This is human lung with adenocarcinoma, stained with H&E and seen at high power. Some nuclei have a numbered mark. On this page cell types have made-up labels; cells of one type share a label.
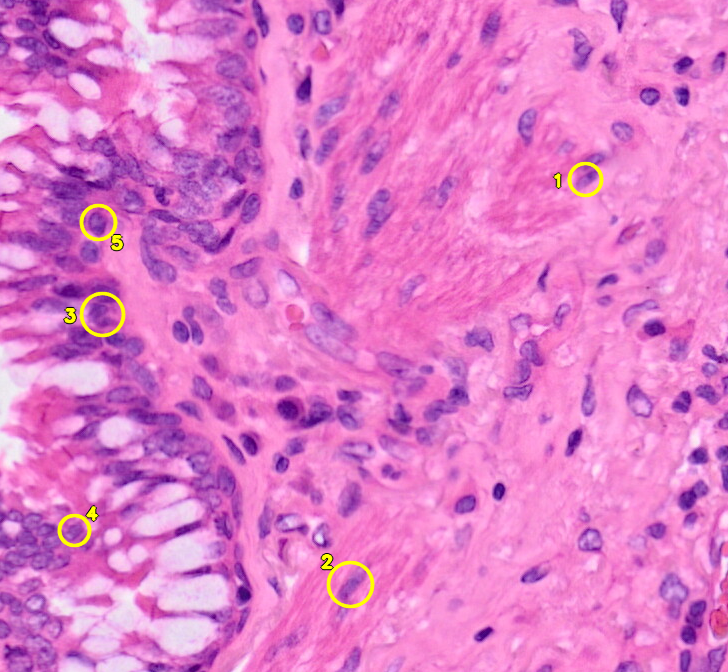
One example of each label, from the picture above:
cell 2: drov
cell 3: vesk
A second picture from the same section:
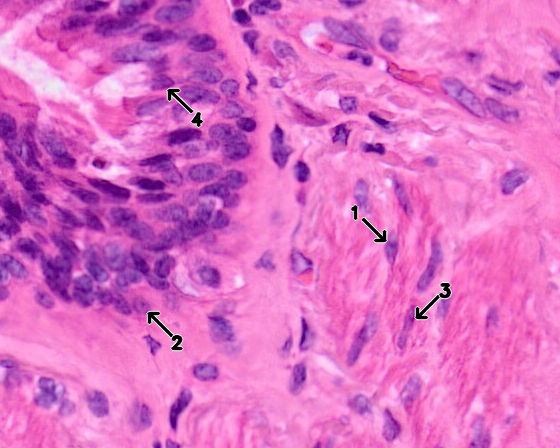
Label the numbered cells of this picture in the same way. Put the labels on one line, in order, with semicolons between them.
drov; vesk; drov; vesk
